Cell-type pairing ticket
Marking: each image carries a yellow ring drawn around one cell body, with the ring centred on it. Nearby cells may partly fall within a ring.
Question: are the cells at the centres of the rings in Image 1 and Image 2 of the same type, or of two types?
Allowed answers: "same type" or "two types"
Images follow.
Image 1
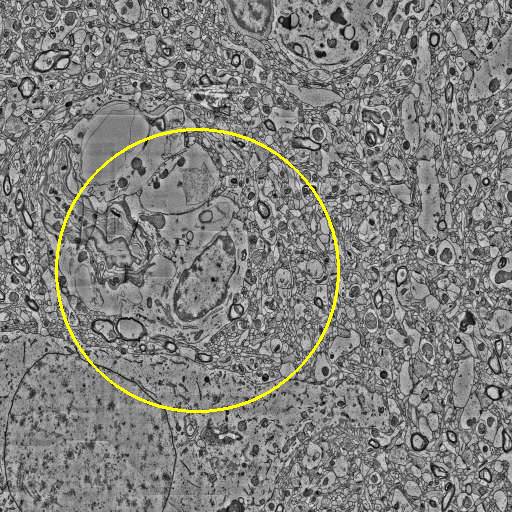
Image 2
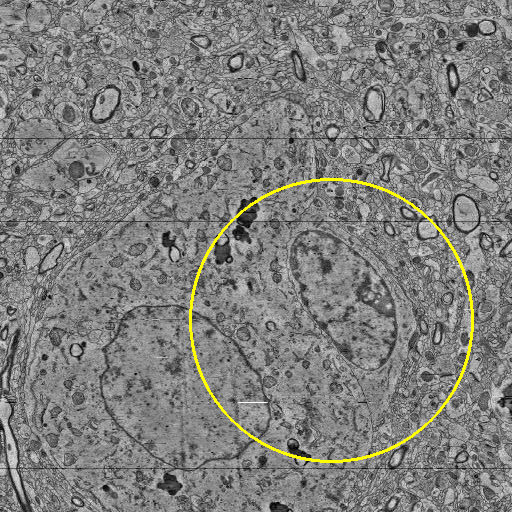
same type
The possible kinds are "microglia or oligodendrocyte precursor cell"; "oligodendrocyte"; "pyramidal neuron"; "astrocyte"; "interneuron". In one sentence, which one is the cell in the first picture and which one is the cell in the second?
In each of the two pictures, the ringed cell is a microglial cell or oligodendrocyte precursor cell.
